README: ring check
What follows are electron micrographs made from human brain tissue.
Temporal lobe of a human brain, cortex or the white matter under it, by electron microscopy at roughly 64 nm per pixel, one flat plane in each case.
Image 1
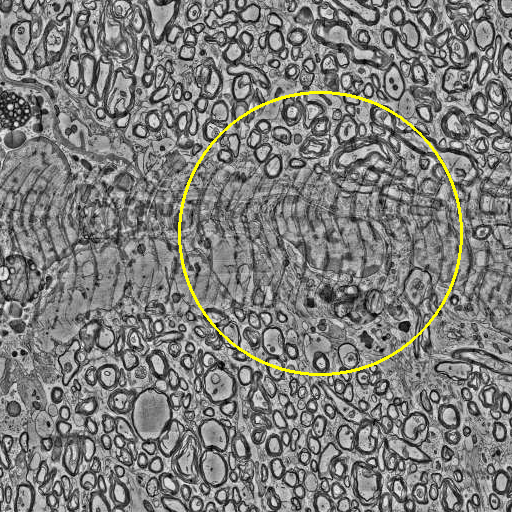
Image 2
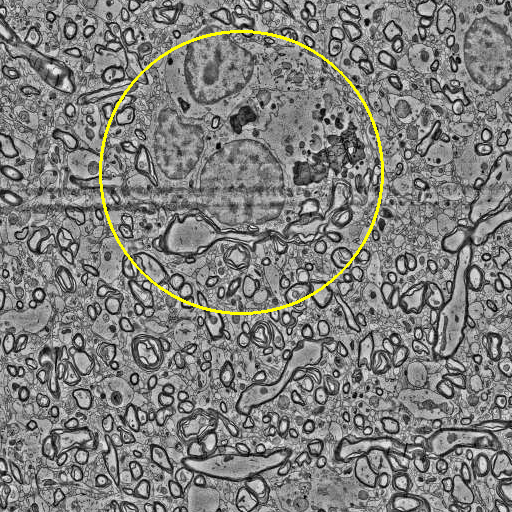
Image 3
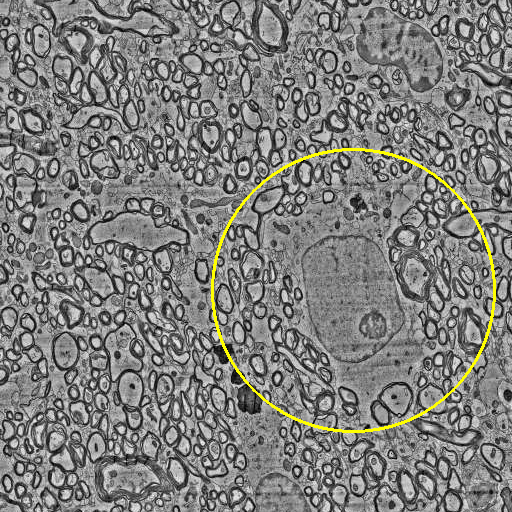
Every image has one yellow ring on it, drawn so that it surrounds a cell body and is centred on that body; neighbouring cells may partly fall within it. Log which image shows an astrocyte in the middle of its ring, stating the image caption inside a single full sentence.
Image 3 is where the cell at the ring's centre matches the one asked for.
